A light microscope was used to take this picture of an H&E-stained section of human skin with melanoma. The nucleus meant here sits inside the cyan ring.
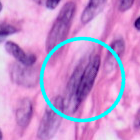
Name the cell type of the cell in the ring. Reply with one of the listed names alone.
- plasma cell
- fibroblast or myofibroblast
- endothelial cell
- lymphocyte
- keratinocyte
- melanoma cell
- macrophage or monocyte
endothelial cell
